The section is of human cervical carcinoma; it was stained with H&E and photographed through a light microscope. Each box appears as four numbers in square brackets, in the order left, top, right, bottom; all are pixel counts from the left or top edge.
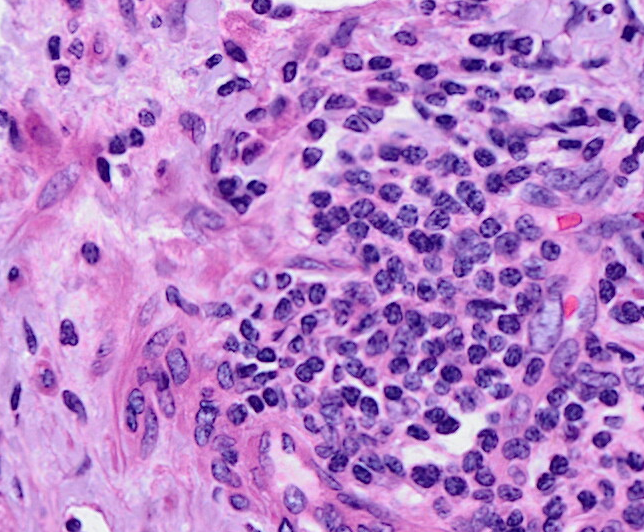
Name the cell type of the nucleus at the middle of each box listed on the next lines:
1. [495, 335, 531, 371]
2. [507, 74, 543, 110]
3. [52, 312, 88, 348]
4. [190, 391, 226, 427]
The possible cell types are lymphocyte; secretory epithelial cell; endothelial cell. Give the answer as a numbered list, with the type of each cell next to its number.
1. lymphocyte
2. lymphocyte
3. lymphocyte
4. endothelial cell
